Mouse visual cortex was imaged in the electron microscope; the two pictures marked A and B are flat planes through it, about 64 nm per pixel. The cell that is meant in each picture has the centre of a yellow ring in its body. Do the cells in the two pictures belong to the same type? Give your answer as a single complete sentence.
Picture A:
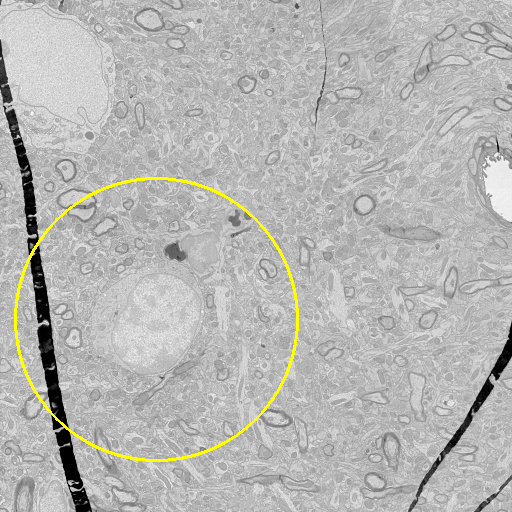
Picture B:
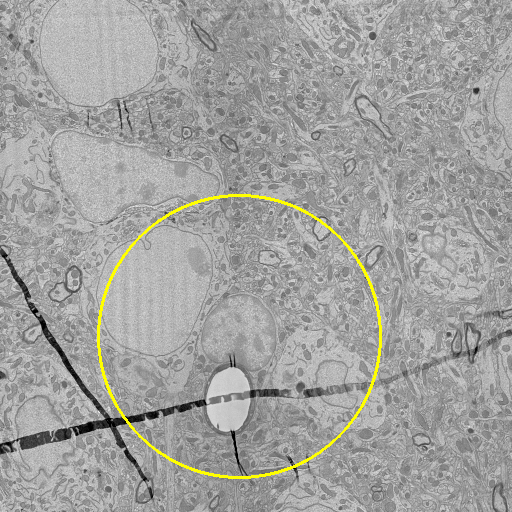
Yes; the cells in both pictures are oligodendrocytes.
